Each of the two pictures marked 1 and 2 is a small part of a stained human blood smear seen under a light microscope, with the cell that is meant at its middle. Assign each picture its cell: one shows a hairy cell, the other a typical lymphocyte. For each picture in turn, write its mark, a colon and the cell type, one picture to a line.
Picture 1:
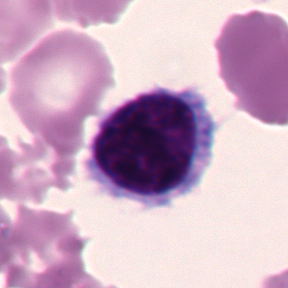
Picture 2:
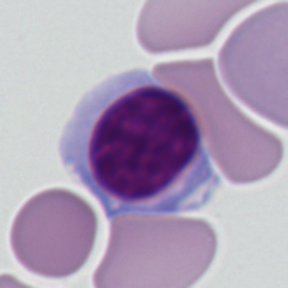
1: hairy cell
2: typical lymphocyte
